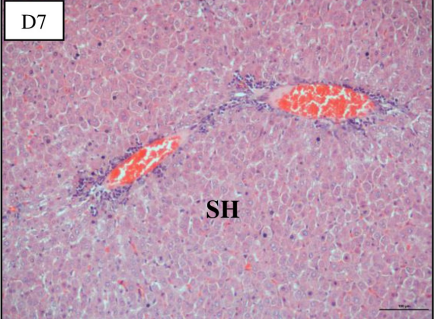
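This is liver tissue in which two vessels, distended and packed with bright red blood, run across the field. Around both vessels lies a cuff of many small, dark-purple nuclei, a crowd of inflammatory cells that spreads a little into the surrounding tissue. The hepatocytes around them look large and pale, with a cloudy, light pink cytoplasm, and their plates are less clearly lined up than in normal liver. Here and there small red spots of blood lie between the liver cells.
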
